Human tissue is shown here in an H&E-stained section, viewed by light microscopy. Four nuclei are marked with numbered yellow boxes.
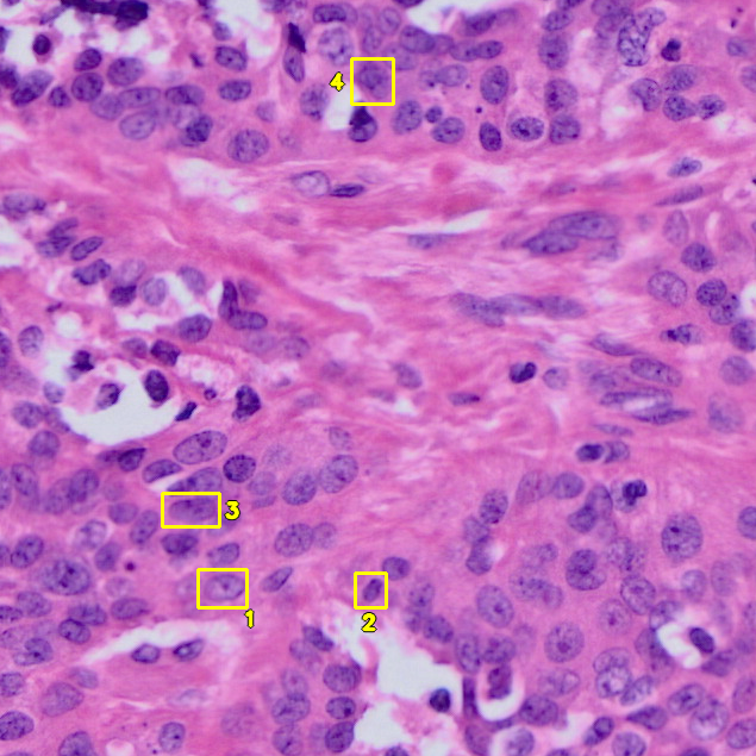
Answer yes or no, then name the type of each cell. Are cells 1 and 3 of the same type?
Yes, as for cells 1 and 3, both are carcinoma cells.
